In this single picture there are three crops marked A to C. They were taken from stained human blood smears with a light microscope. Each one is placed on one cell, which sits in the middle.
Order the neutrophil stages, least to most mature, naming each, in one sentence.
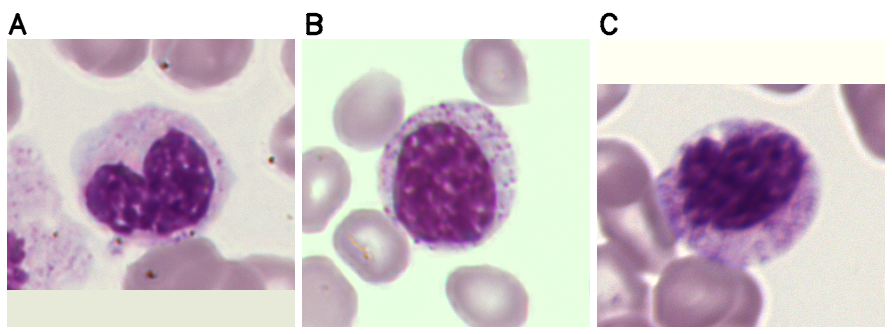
Along the maturation pathway, from earliest to latest, the order is crop B (a metamyelocyte), crop A (a band neutrophil) and crop C (a segmented neutrophil).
